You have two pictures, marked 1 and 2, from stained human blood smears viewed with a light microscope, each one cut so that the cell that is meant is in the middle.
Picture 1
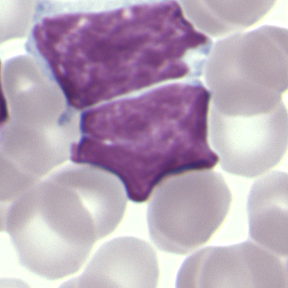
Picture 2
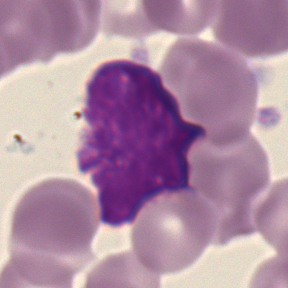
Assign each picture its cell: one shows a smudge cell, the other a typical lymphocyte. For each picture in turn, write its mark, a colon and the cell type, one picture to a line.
1: typical lymphocyte
2: smudge cell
